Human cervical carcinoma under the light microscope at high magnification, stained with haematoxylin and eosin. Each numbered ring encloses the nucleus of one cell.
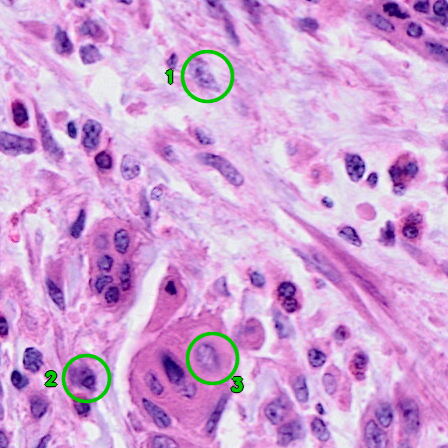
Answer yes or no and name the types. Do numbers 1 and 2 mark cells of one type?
No, cell 1 is a fibroblast and cell 2 is a macrophage or monocyte.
